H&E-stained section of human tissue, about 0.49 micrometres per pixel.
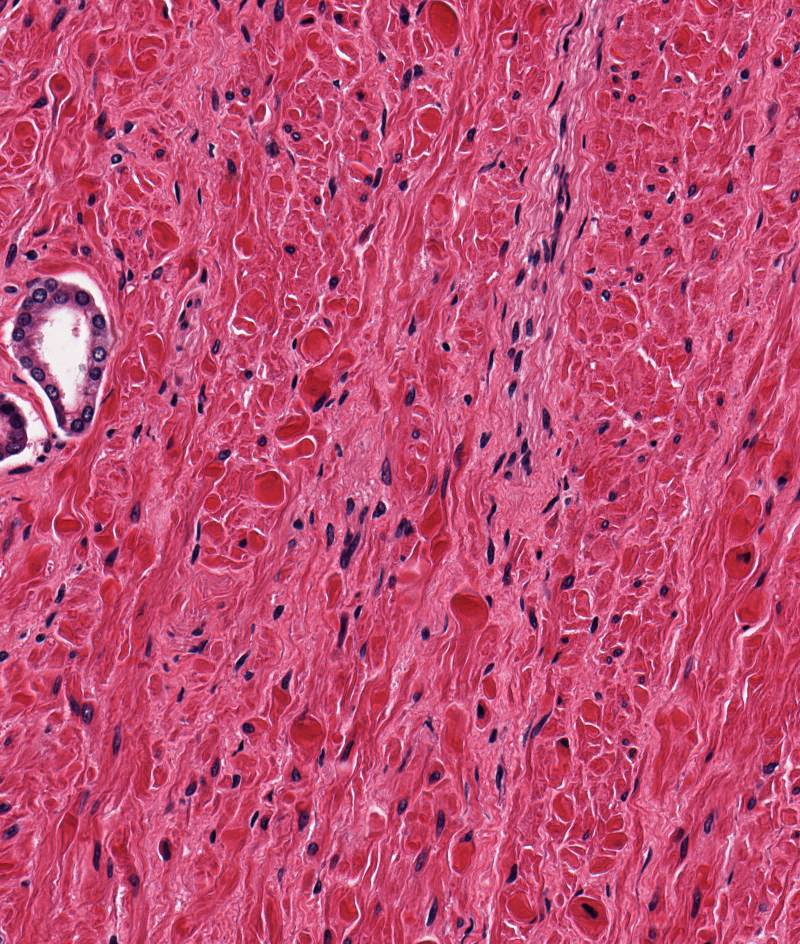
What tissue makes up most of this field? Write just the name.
fibromuscular stroma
